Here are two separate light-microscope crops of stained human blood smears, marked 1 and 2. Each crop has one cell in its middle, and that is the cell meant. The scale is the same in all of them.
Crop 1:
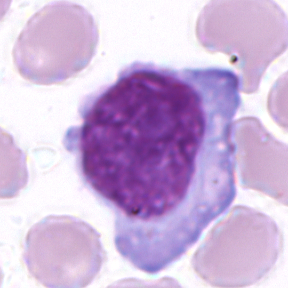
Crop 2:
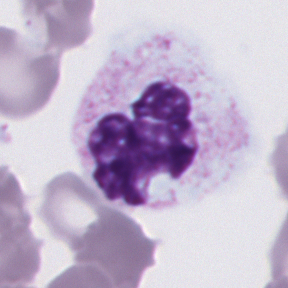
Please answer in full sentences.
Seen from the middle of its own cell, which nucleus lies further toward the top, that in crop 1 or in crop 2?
In crop 1 the nucleus is shifted more toward the top.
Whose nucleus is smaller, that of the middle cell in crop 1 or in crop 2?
It is the nucleus in crop 2; the one in crop 1 has about 1.5 times its area.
